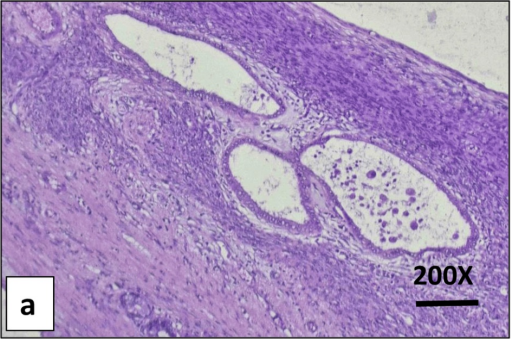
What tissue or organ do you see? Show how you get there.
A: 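Low columnar to cuboidal epithelium. Pale cystic spaces are lined by a single row of cells. The lining cells are short, cube-like to slightly tall, with basal nuclei.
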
